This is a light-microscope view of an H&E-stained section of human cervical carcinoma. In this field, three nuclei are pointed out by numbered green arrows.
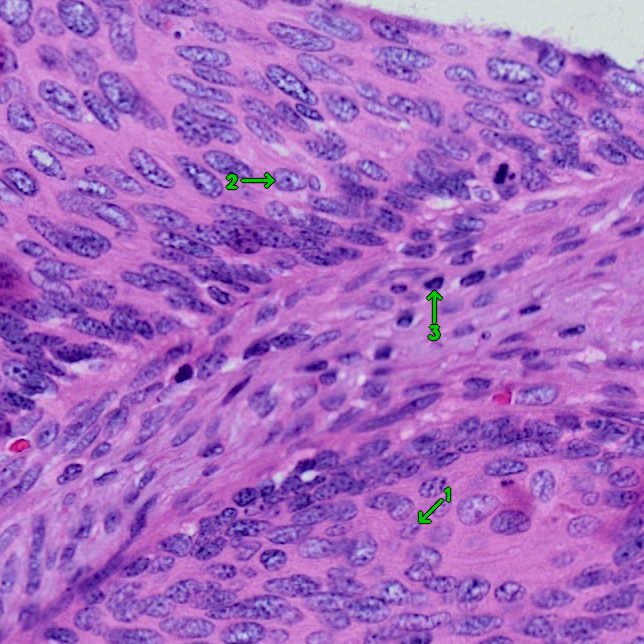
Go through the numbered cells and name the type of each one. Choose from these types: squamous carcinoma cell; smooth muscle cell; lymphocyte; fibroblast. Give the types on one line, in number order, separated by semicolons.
squamous carcinoma cell; squamous carcinoma cell; lymphocyte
